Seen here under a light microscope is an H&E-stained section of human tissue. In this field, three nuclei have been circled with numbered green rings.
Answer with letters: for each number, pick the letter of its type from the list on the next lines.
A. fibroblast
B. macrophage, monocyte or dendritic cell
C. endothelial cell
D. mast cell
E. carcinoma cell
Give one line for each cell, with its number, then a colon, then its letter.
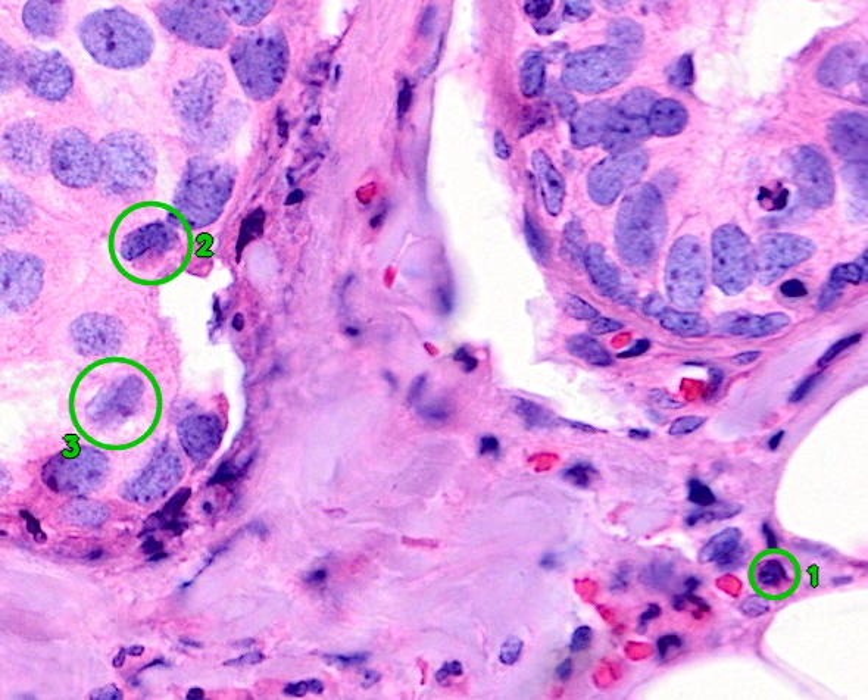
1: D
2: E
3: E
